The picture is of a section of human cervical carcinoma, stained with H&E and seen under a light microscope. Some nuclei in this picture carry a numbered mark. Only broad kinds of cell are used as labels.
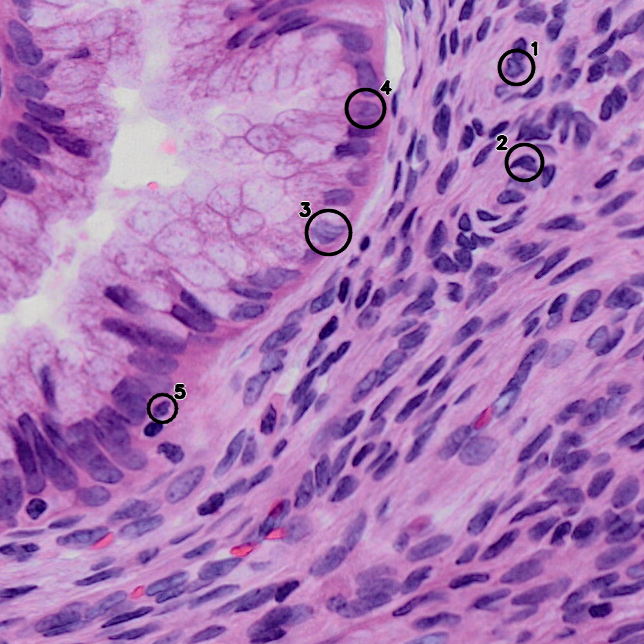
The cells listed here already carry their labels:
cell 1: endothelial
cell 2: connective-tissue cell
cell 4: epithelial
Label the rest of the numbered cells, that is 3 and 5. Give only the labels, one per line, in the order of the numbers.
epithelial
epithelial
